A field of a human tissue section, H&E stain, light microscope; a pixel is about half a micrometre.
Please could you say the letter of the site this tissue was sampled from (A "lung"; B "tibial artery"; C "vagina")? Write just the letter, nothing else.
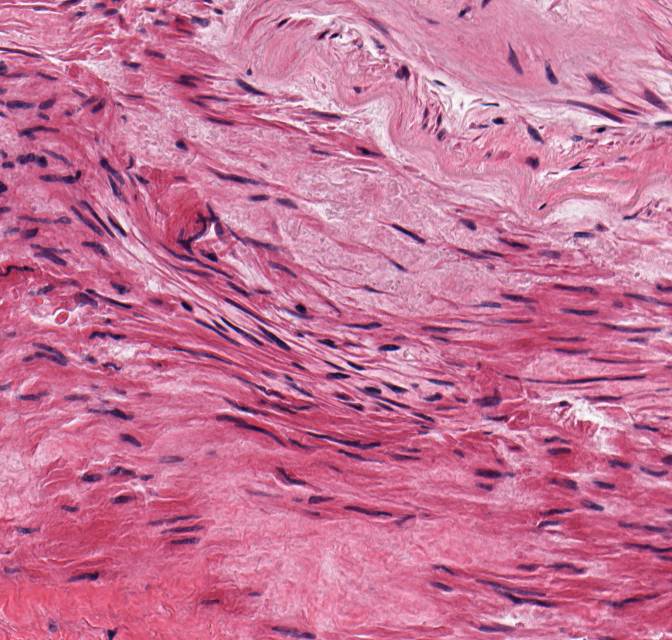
B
